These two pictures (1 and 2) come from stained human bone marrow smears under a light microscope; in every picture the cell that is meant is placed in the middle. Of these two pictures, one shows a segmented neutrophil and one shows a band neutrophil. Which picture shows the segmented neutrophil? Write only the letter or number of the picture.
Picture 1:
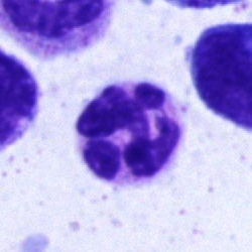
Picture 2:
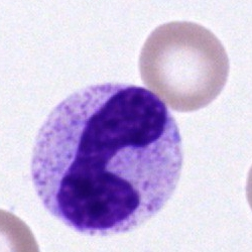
1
